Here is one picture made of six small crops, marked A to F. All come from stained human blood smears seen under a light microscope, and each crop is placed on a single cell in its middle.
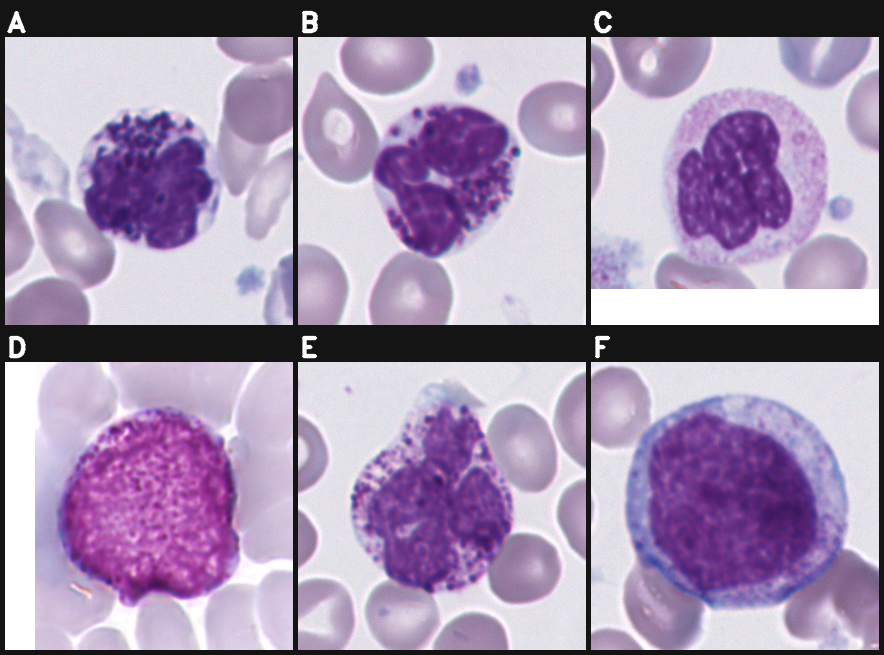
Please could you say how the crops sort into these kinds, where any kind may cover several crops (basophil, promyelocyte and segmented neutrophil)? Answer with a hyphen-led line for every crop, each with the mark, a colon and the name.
- A: basophil
- B: basophil
- C: segmented neutrophil
- D: promyelocyte
- E: basophil
- F: promyelocyte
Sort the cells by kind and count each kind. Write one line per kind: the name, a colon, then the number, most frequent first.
basophil: 3
promyelocyte: 2
segmented neutrophil: 1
